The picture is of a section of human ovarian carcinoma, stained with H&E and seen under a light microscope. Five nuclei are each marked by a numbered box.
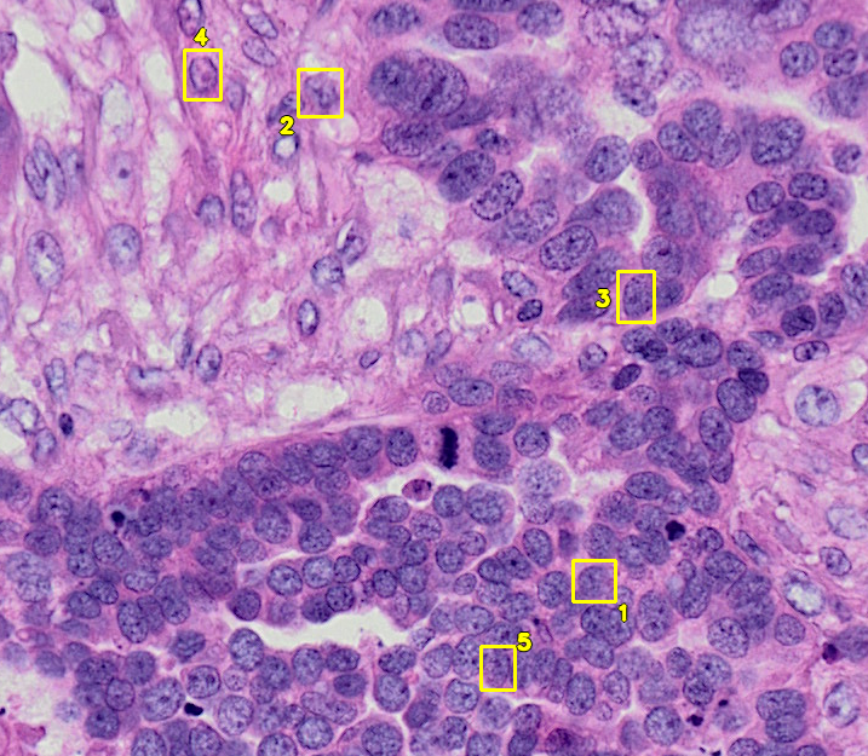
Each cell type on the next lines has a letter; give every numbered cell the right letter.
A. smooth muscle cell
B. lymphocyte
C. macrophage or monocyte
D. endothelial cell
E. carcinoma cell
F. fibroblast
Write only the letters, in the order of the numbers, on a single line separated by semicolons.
E; F; E; F; E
